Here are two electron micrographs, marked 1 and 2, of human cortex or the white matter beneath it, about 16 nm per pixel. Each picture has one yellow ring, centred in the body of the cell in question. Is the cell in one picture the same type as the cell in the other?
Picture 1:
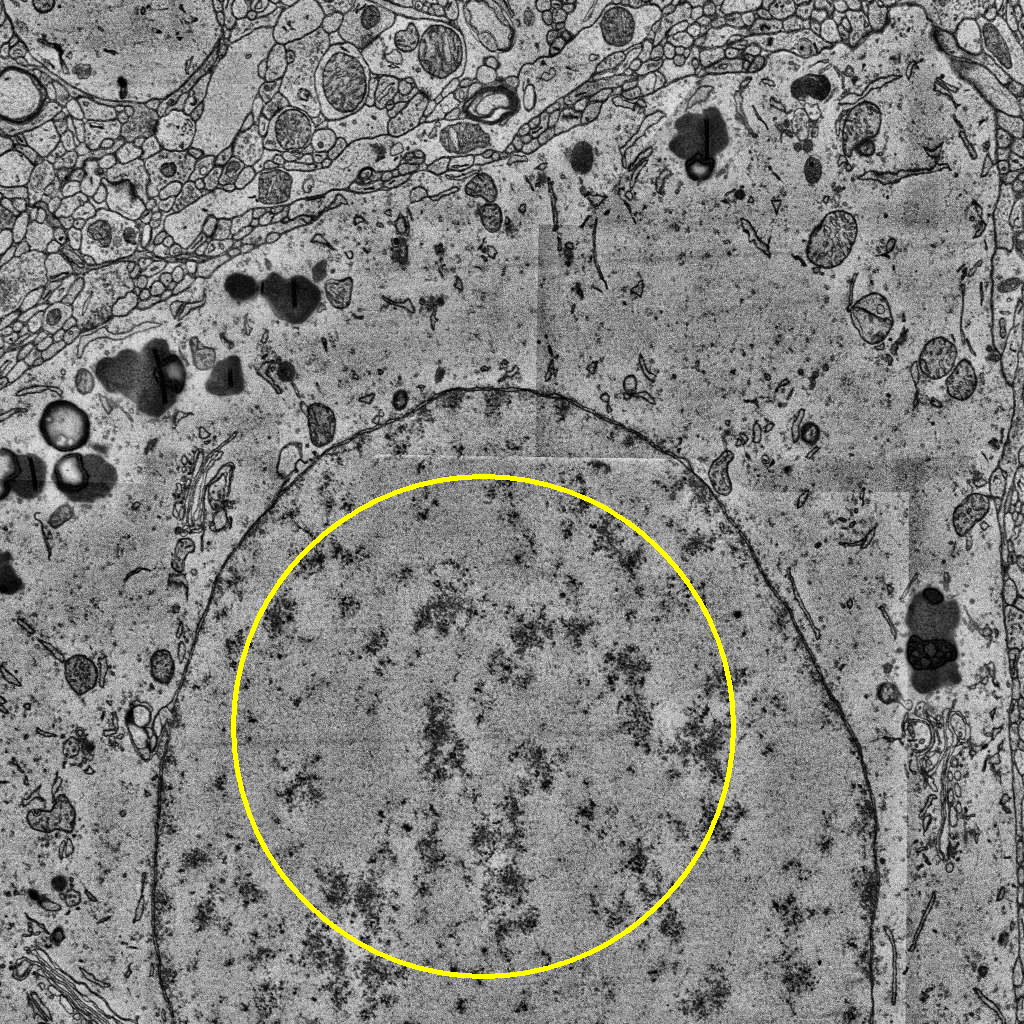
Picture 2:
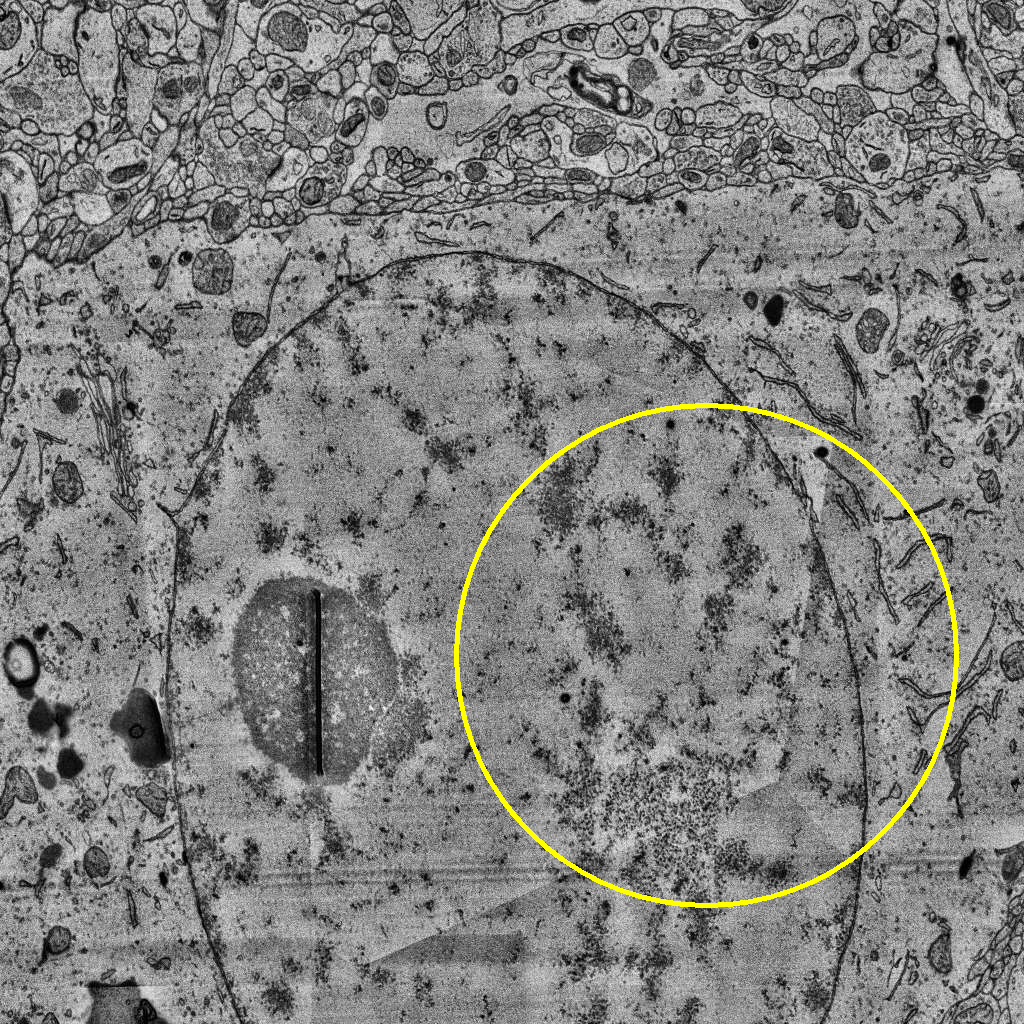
Yes, the two pictures both show pyramidal neurons.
